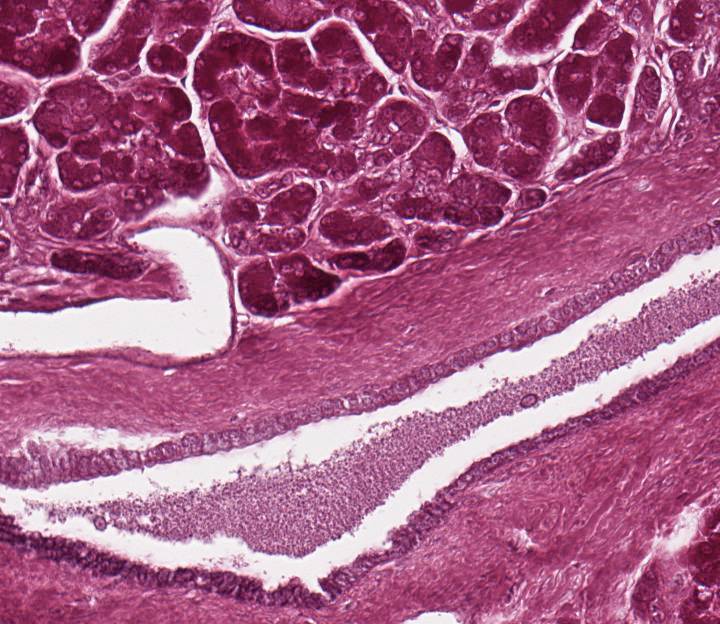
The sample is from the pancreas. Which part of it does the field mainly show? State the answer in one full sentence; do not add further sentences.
In this image of a tissue section, the part is named excretory duct.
